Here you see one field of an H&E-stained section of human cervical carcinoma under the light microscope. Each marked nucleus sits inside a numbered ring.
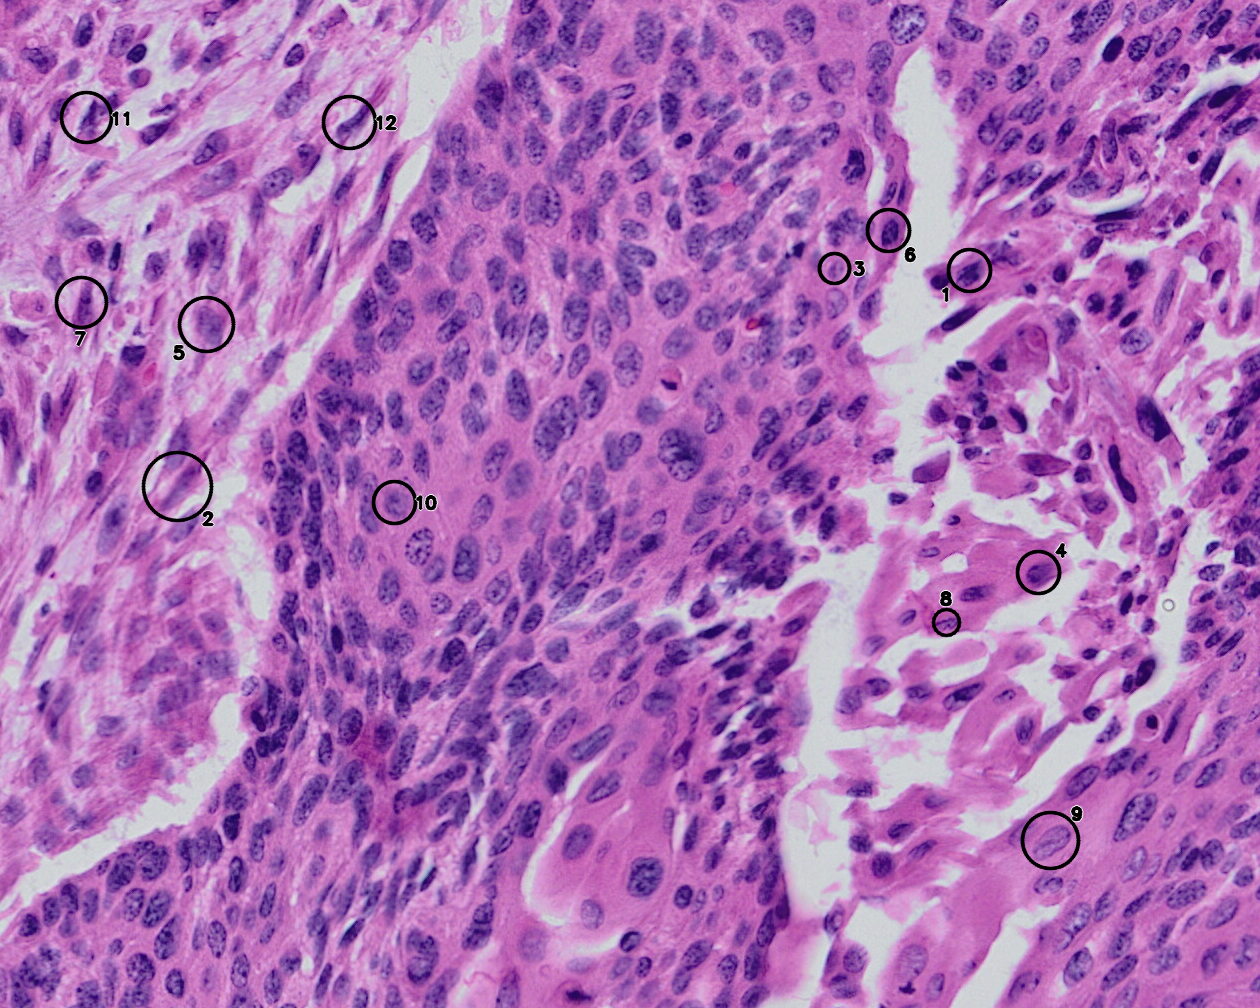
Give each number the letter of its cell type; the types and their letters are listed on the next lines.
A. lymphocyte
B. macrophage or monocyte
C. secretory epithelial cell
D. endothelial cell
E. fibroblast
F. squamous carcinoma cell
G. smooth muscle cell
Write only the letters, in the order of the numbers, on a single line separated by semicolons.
F; E; F; F; E; F; E; F; F; F; E; E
